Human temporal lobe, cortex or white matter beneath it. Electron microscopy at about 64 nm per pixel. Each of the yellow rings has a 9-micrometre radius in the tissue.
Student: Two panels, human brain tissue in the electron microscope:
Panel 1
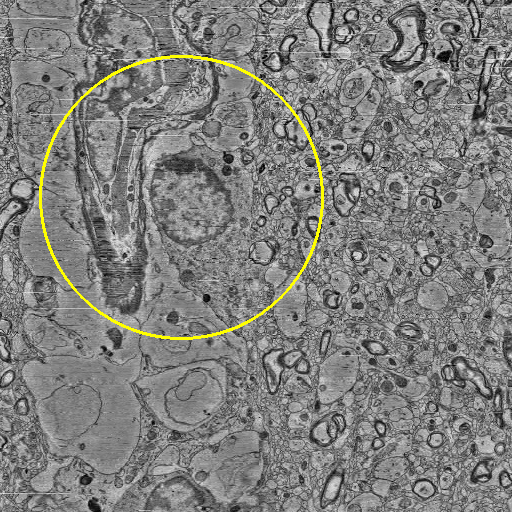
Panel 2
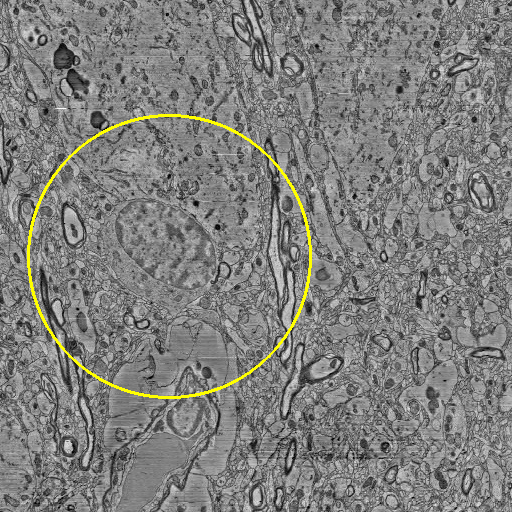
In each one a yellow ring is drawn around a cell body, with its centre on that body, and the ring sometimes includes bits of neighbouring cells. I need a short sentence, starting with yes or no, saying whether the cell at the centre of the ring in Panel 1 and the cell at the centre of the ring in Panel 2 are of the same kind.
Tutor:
Yes, they are the same kind of cell.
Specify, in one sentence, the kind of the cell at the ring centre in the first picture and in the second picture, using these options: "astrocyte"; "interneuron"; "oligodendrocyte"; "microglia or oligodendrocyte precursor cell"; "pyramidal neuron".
Each of the two pictures has an oligodendrocyte at the ring centre.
